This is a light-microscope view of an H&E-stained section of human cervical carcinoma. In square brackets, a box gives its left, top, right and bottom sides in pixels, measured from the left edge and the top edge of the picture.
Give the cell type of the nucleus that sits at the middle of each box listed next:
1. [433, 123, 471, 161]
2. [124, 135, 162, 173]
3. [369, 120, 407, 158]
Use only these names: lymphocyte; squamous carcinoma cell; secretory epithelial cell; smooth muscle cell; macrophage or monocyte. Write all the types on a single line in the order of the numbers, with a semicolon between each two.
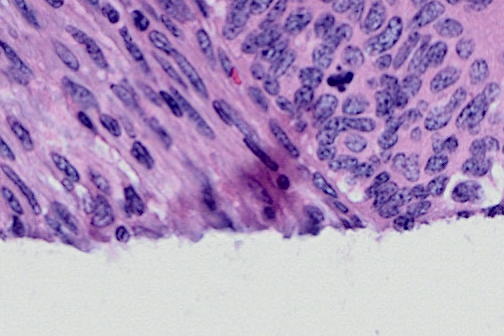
squamous carcinoma cell; lymphocyte; squamous carcinoma cell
